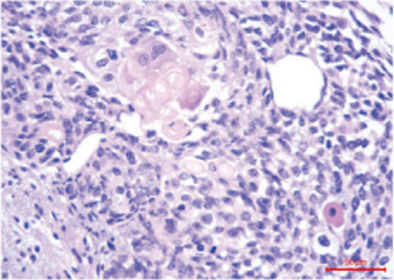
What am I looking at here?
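This is a squamous carcinoma, with a nest of tumour cells wrapped around a central whorl of glassy pink keratin. Around the nest lie densely packed cells with smaller, darker nuclei, and a rounded clear space sits to one side. The keratinizing nest marks this as a keratinized squamous carcinoma.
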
